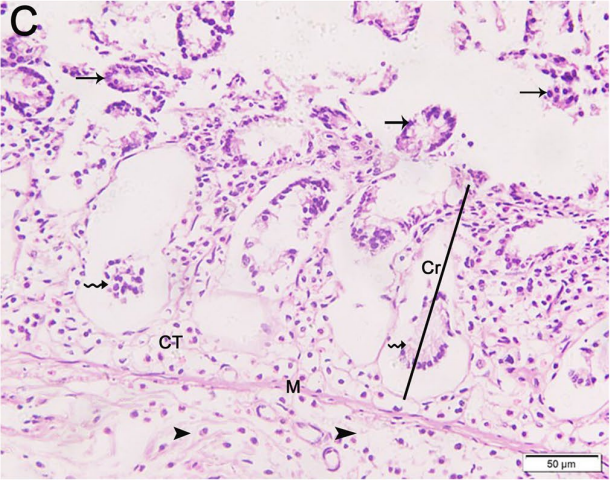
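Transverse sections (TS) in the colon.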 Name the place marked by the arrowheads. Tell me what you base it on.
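The arrowheads lie in loose connective tissue below the thin pink muscle band. That points to this answer: submucosa.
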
